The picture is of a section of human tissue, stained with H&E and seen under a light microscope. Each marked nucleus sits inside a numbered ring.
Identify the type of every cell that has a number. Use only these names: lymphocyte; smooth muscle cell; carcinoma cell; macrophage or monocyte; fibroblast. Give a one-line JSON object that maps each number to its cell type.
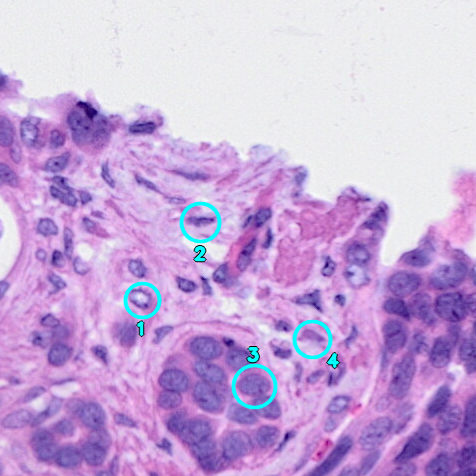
{"1": "fibroblast", "2": "fibroblast", "3": "carcinoma cell", "4": "fibroblast"}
